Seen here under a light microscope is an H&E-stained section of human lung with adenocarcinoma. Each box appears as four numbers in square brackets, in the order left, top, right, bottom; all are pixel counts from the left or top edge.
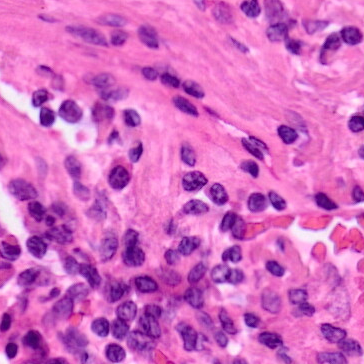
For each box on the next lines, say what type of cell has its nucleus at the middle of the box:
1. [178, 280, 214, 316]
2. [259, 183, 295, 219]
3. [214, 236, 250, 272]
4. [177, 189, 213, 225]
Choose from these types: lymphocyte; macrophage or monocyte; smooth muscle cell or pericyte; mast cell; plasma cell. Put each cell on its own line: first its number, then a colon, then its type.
1: plasma cell
2: lymphocyte
3: lymphocyte
4: lymphocyte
